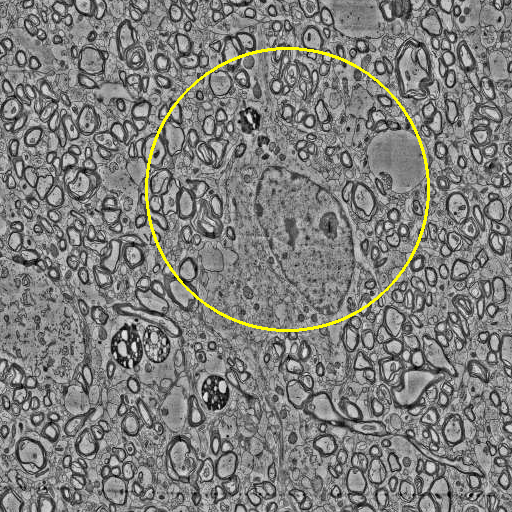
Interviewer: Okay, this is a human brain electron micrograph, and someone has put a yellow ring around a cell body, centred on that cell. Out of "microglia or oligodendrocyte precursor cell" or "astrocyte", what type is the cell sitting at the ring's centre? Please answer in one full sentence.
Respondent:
The cell at the centre of the yellow ring in this picture is an astrocyte.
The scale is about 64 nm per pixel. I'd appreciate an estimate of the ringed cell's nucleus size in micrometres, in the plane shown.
The nucleus is about 10 micrometres in length and 5 in width, clearly longer than it is wide in this plane.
